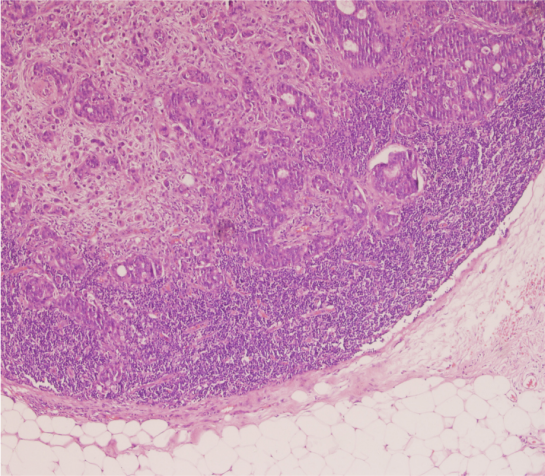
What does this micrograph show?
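Lymph node with tumor tissue occupying much of its interior and a rim of small lymphoid cells beneath a smooth capsule. The tumor cells in the upper left are large, with abundant pink cytoplasm and large nuclei of uneven size and shape. They form irregular clusters and nests around small clear round spaces, set in a pale pink fibrous stroma. A broad band of densely packed small cells with dark round nuclei curves along the lower right. Outside the thin smooth capsule lies fat, seen as large empty polygonal spaces with thin pink walls.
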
